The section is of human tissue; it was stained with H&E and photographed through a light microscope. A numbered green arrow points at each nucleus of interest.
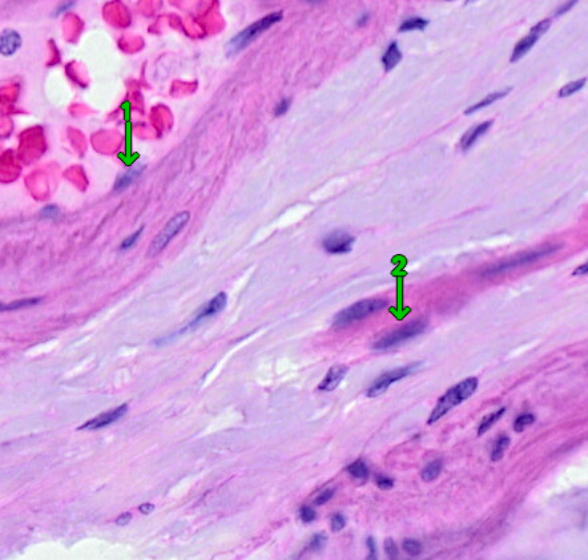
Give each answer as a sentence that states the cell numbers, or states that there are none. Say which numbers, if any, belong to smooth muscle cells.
Among all the marked cells, a smooth muscle cell is found only at number 2.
